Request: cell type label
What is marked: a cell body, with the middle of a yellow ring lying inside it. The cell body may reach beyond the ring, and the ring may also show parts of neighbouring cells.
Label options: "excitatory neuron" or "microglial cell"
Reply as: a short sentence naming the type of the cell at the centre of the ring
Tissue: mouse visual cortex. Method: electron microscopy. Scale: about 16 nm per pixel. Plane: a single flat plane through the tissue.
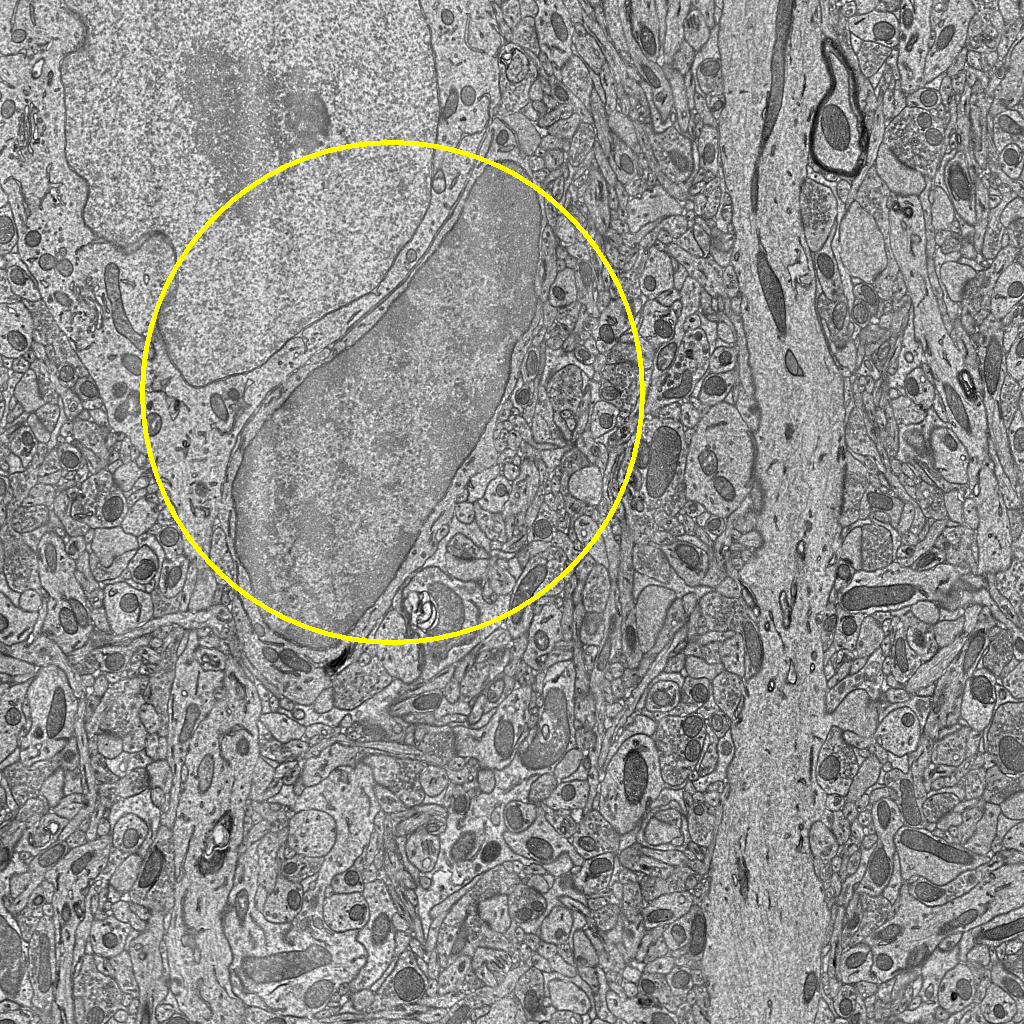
The marked cell body is that of a microglial cell.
